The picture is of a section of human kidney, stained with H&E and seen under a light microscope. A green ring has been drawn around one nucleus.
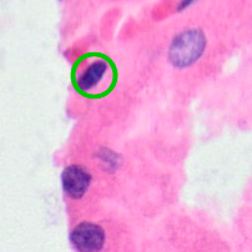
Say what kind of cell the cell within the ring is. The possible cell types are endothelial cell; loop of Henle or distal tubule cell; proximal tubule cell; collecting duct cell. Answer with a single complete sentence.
Within this tissue, the cell within the ring is an endothelial cell.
